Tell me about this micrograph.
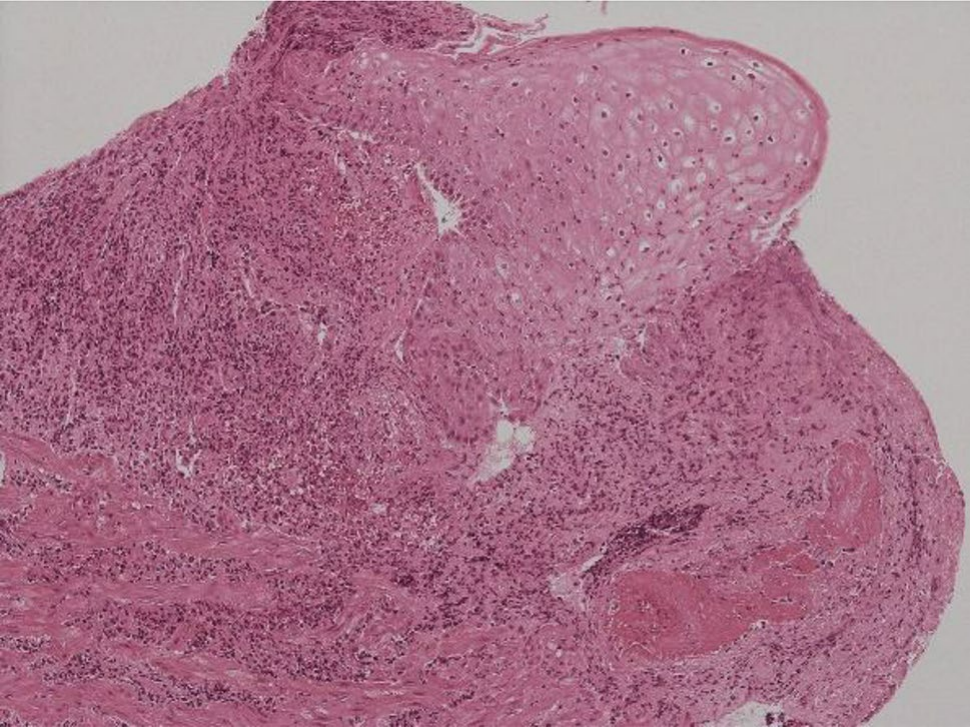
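This is a mucosal biopsy with a fragment of stratified squamous epithelium at the upper right, heavily inflamed. The epithelium has pale pink cytoplasm with small nuclei, and its cells flatten toward the surface. Beneath and around it, the stroma is crowded with small inflammatory cells with dark, compact nuclei that form dense sheets over most of the fragment. These cells spread between strands of pink fibrous tissue toward the lower left. The picture fits an intense, nonspecific inflammatory infiltrate.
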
